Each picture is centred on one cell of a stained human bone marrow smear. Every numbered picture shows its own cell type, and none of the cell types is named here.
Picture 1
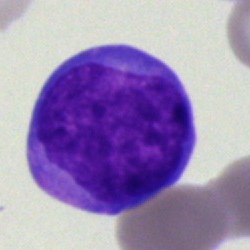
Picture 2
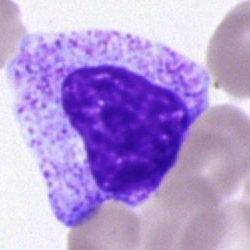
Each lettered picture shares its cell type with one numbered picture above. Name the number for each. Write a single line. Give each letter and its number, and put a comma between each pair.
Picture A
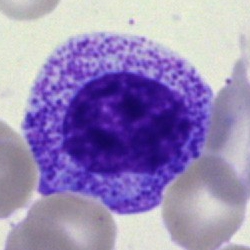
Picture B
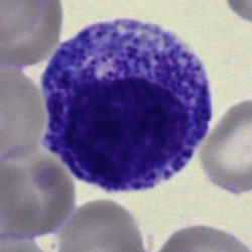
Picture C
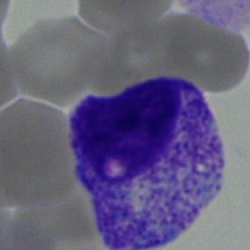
A 2, B 2, C 2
